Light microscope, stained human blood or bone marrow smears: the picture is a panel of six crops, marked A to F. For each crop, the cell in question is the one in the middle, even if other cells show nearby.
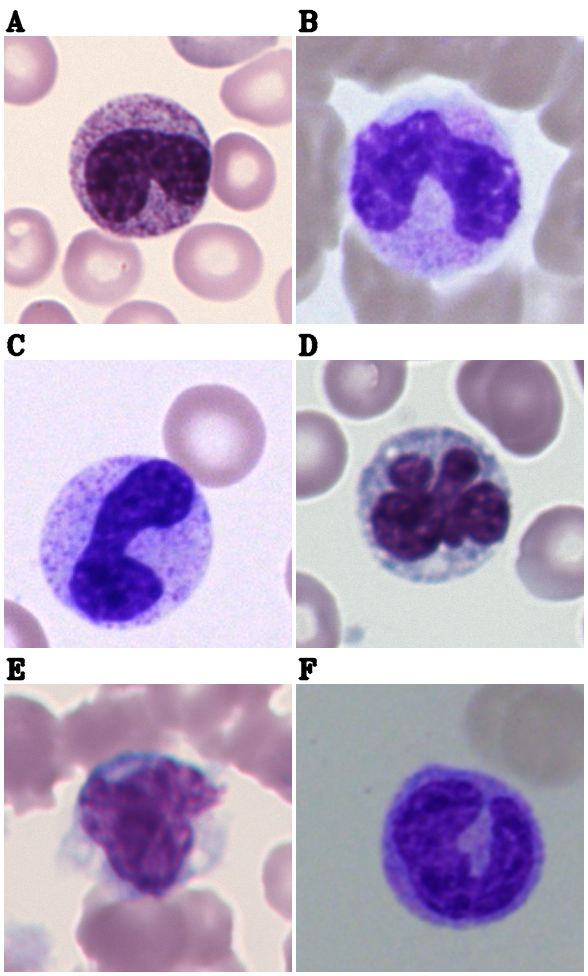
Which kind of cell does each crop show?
A: band neutrophil
B: band neutrophil
C: band neutrophil
D: monocyte
E: monocyte
F: monocyte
